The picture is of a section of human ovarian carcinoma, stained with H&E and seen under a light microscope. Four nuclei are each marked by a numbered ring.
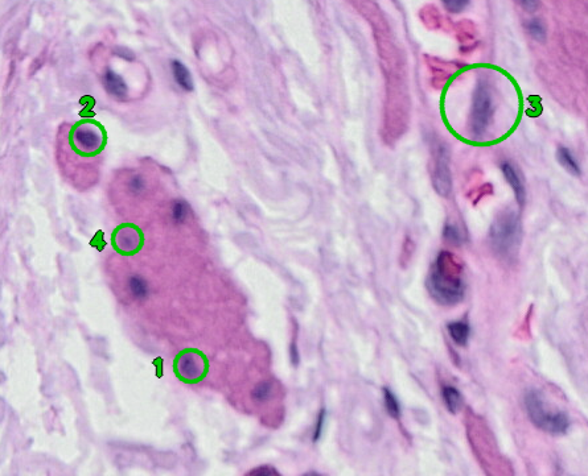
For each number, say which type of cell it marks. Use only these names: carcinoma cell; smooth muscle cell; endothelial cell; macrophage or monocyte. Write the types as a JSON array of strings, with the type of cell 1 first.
["smooth muscle cell", "smooth muscle cell", "endothelial cell", "smooth muscle cell"]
